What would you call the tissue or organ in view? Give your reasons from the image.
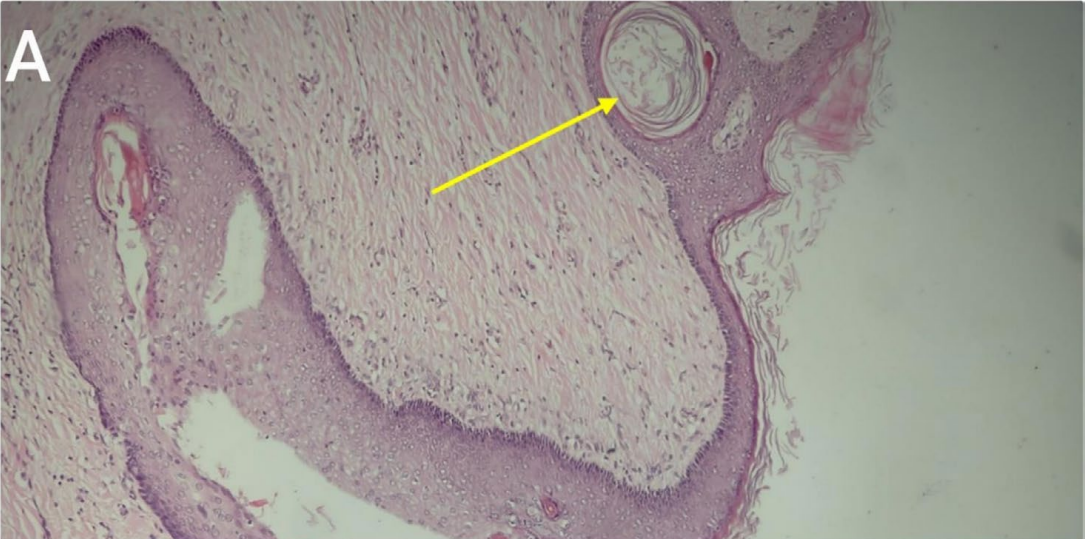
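A many-layered epithelium with a purple basal layer lines the pink fibrous tissue. Flaky pink keratin lies on the free surface of the epithelium.
Answer: Keratinized stratified squamous epithelium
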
